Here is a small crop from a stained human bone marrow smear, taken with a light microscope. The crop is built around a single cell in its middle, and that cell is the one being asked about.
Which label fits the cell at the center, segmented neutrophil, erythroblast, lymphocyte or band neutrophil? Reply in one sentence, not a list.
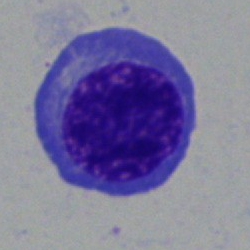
The cell of interest, in the center, is an erythroblast.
